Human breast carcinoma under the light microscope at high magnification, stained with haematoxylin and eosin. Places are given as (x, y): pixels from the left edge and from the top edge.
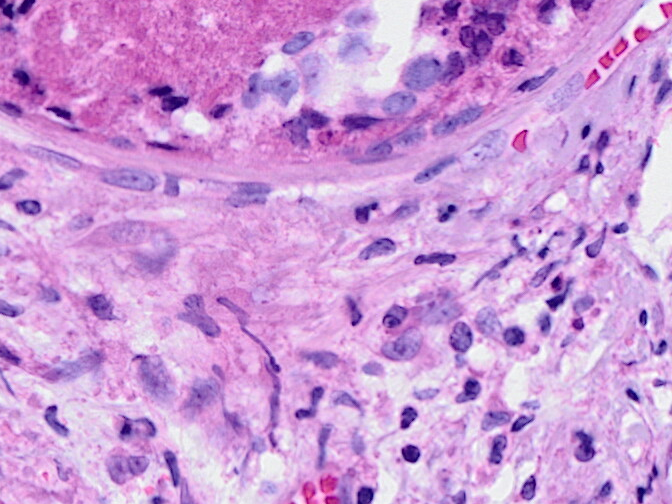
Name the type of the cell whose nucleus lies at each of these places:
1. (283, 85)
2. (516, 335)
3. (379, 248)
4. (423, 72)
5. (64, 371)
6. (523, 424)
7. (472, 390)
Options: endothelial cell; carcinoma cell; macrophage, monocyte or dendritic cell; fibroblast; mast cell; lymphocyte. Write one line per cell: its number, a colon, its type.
1: carcinoma cell
2: lymphocyte
3: macrophage, monocyte or dendritic cell
4: carcinoma cell
5: fibroblast
6: lymphocyte
7: lymphocyte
